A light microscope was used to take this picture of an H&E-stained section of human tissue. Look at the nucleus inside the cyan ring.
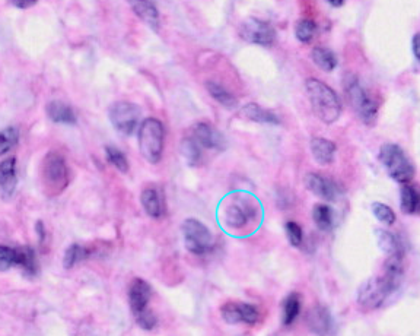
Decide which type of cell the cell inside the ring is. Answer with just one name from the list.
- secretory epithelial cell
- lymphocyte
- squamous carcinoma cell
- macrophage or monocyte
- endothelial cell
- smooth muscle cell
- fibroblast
macrophage or monocyte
